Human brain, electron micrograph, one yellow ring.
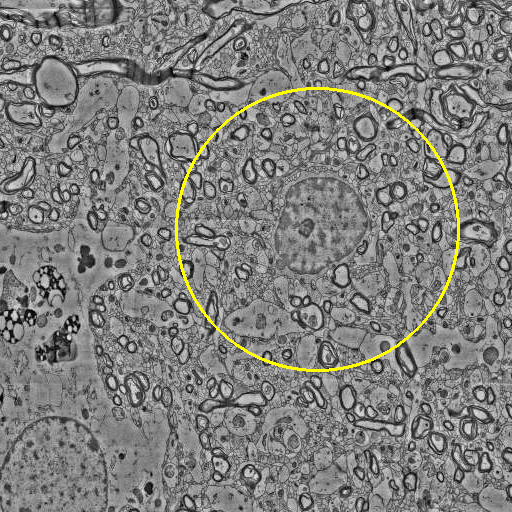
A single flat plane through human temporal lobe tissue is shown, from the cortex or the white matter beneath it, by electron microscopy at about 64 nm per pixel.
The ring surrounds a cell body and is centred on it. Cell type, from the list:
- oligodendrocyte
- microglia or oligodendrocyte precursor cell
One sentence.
The yellow ring circles an oligodendrocyte.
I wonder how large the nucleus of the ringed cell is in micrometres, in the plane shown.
In this plane the ringed cell's nucleus is roughly 6 micrometres across.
